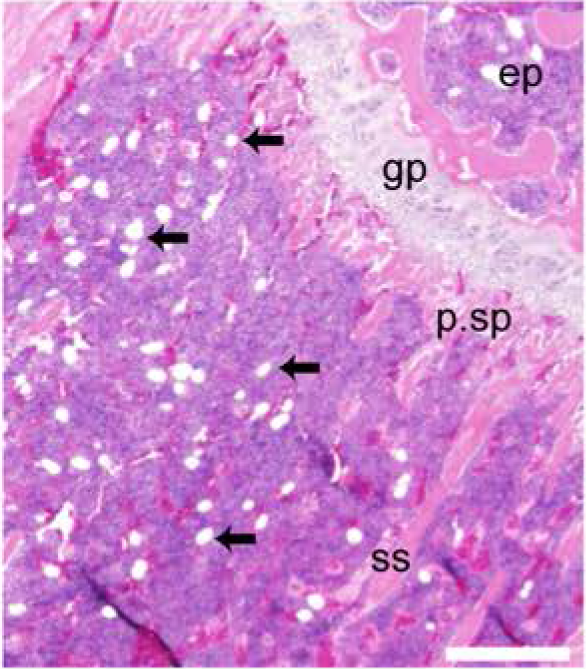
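Many round, clear, empty-looking adipocytes are scattered through the marrow, standing out as white holes against the purple. A pale band runs diagonally across the upper right, beyond which lies more pink bone and marrow.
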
